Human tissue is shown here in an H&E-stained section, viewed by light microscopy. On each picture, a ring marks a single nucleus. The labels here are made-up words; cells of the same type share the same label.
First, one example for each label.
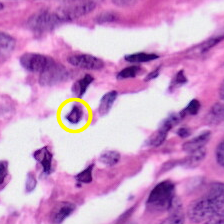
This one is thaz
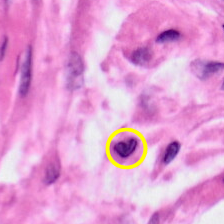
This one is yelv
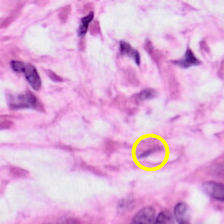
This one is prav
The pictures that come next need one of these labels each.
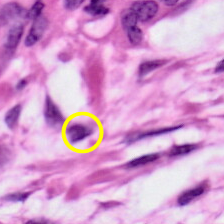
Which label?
prav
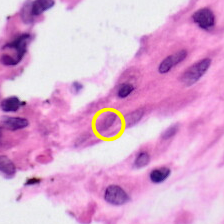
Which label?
prav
